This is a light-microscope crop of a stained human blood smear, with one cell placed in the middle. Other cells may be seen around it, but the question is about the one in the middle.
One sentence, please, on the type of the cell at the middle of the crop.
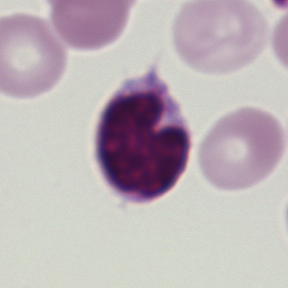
Located at the centre of the crop is a large granular lymphocyte.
